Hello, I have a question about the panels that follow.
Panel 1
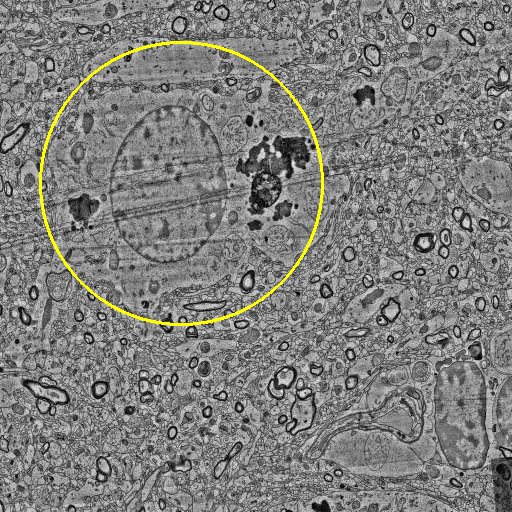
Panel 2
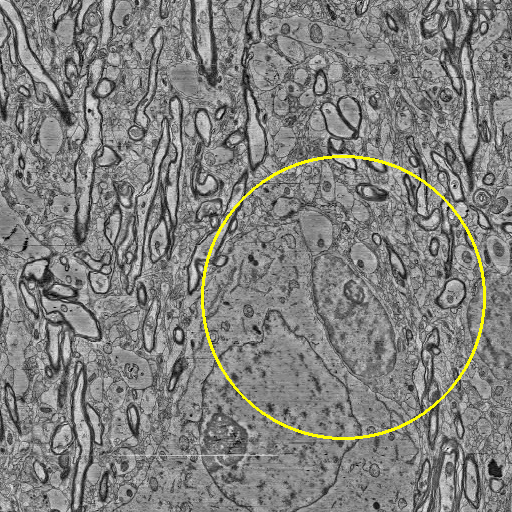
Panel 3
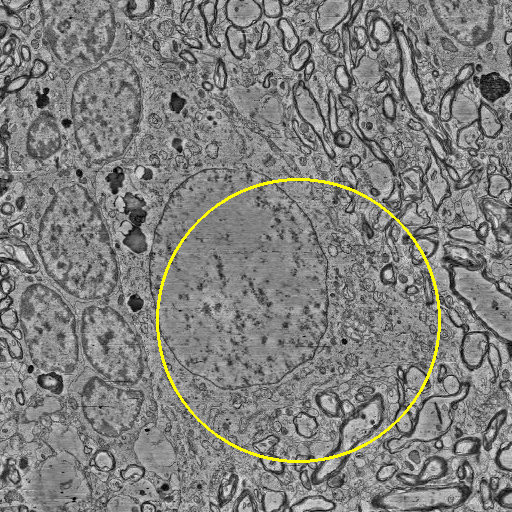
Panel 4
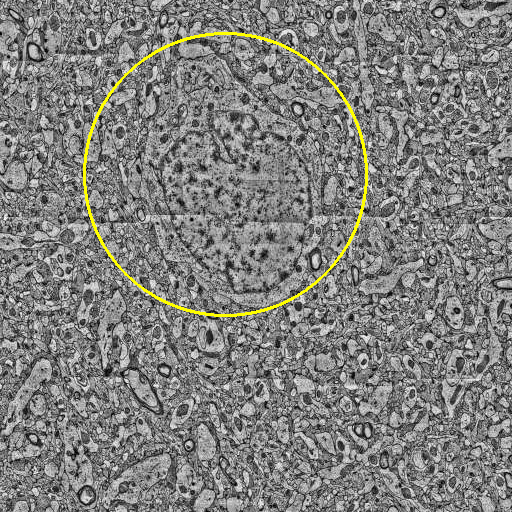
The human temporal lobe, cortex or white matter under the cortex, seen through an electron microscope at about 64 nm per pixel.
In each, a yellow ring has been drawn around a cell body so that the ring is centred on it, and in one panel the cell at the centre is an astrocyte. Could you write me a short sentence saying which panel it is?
It is Panel 1.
